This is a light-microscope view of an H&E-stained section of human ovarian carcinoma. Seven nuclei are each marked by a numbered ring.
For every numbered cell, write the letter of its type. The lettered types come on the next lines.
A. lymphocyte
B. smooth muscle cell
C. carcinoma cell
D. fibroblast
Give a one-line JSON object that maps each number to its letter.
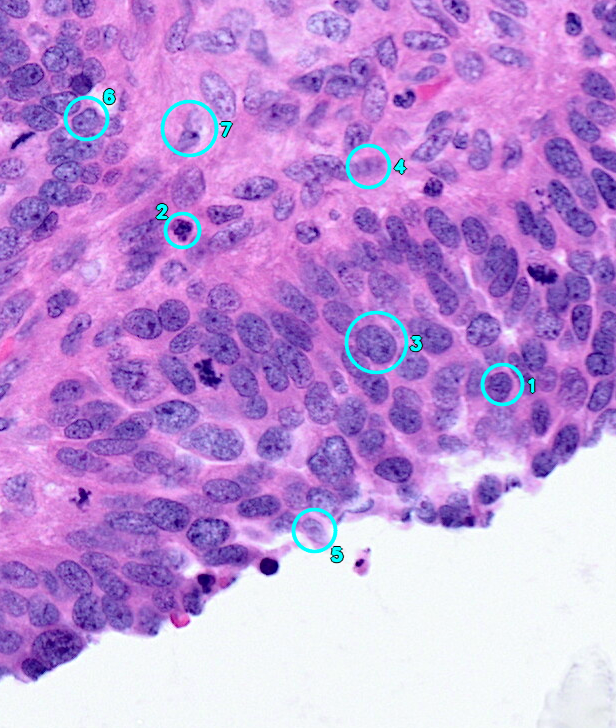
{"1": "C", "2": "A", "3": "C", "4": "D", "5": "C", "6": "C", "7": "D"}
